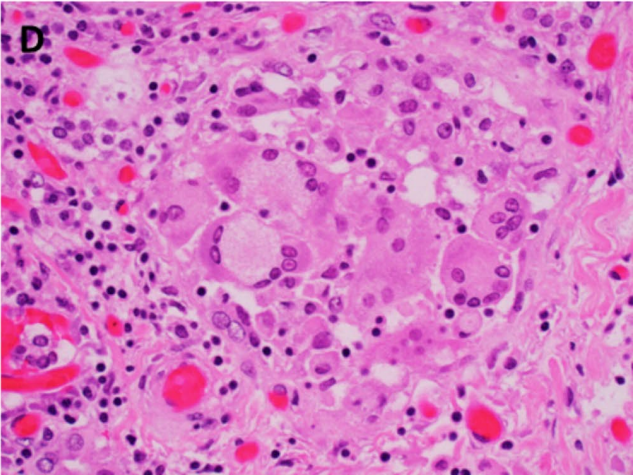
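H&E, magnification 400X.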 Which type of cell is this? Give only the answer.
multinucleated giant cells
